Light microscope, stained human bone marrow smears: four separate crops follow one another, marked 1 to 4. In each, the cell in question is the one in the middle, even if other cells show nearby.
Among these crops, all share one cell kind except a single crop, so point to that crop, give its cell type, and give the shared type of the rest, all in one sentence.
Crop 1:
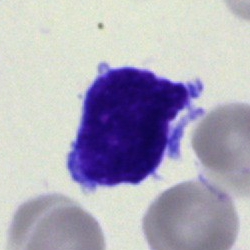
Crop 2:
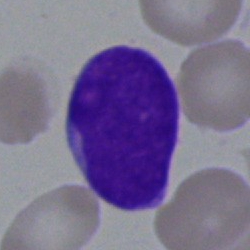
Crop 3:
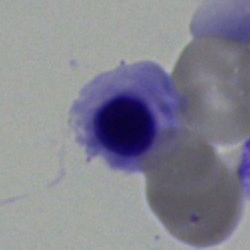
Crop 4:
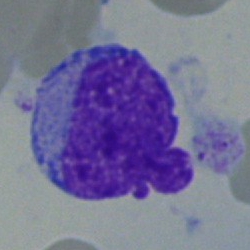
The exception in this group is crop 3, an erythroblast, and the others are all blasts.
